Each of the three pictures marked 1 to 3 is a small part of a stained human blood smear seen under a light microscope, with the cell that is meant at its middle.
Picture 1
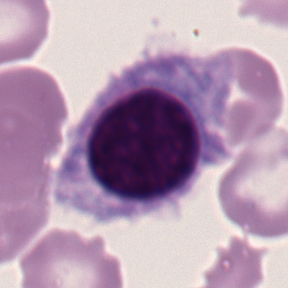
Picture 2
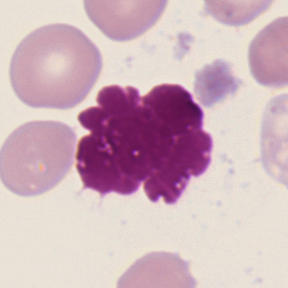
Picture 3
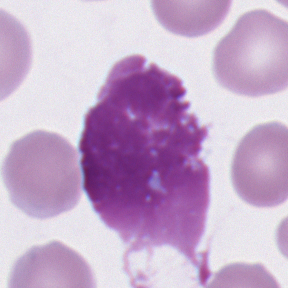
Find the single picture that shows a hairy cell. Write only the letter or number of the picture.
1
